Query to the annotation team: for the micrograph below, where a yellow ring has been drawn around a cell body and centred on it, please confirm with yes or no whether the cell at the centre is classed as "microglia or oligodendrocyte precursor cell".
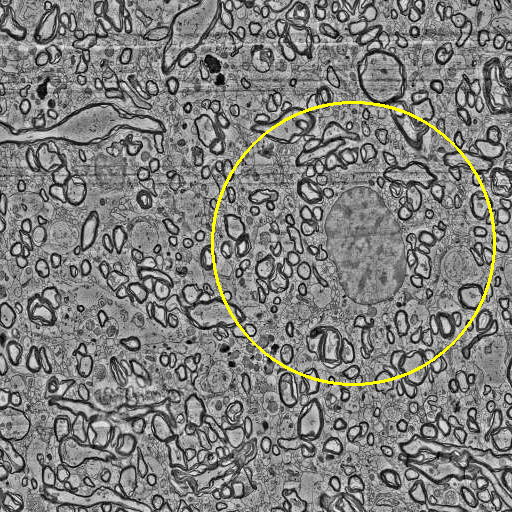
No, it belongs to another class.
